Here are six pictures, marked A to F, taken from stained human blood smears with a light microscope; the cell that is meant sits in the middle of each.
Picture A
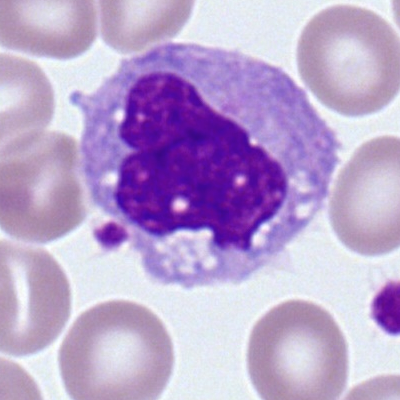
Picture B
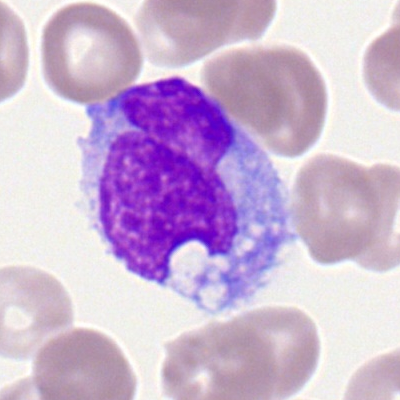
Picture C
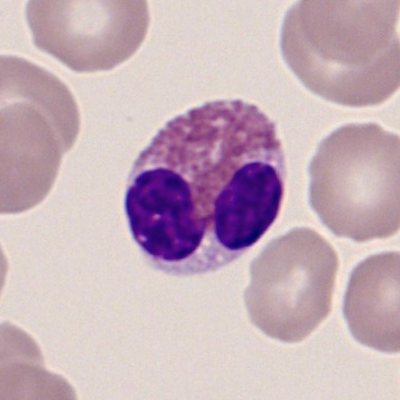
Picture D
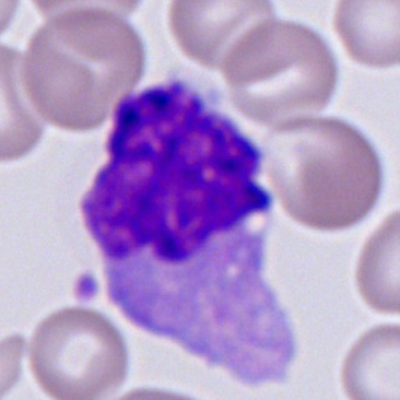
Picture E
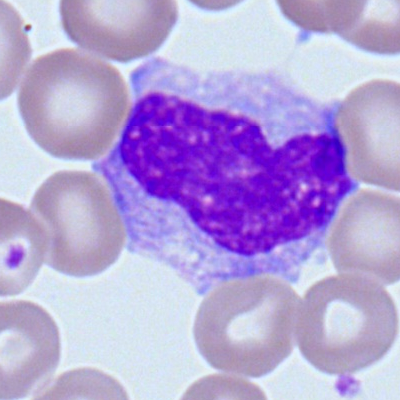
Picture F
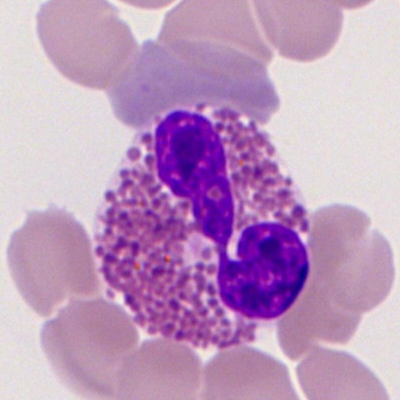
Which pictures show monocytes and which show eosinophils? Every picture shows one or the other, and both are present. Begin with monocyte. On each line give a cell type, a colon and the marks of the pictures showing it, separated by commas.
monocyte: A, B, D, E
eosinophil: C, F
